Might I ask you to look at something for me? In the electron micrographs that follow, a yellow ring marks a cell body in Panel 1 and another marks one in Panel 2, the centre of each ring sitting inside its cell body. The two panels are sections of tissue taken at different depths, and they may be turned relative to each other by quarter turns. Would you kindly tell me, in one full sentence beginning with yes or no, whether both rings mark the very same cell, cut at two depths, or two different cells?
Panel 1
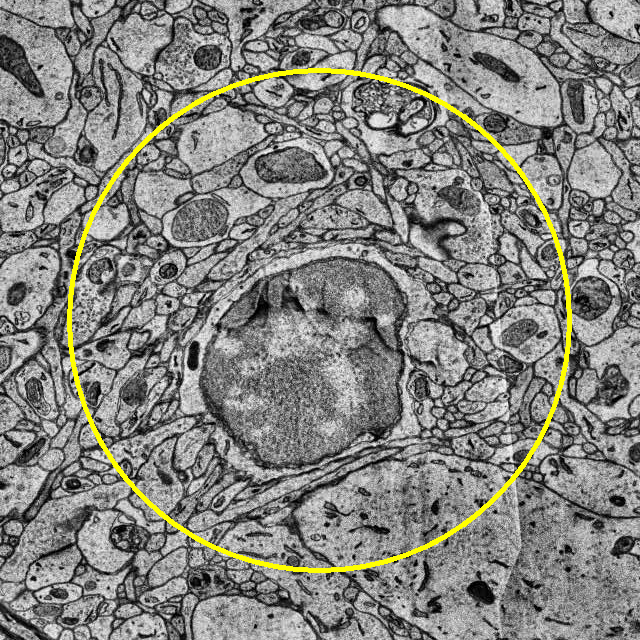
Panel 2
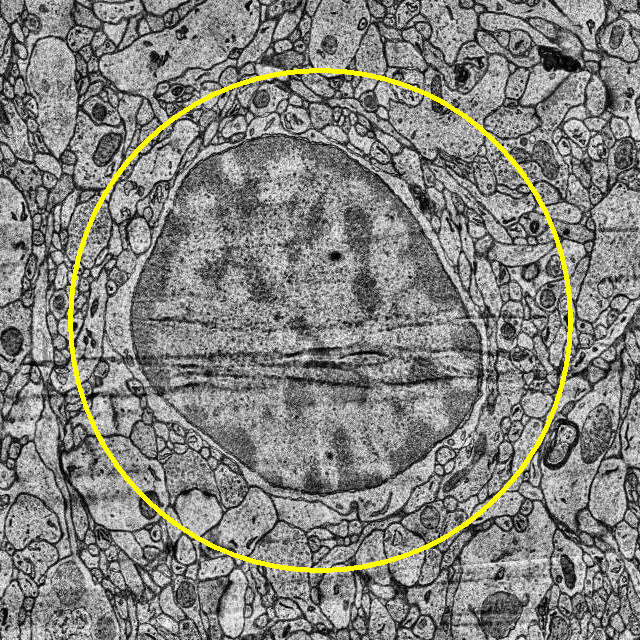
Yes, the rings do not mark different cells but one cell.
